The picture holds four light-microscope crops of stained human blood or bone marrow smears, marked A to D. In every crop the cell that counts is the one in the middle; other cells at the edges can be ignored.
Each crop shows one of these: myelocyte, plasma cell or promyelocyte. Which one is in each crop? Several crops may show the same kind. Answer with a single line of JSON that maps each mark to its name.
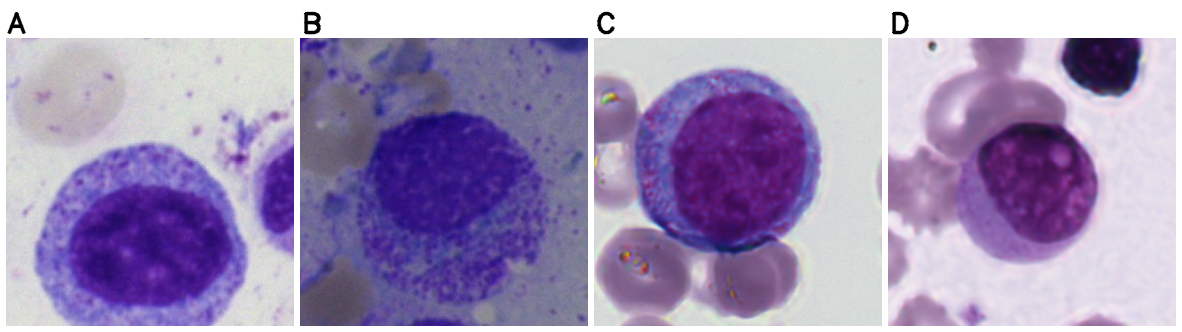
{"A": "promyelocyte", "B": "myelocyte", "C": "promyelocyte", "D": "plasma cell"}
